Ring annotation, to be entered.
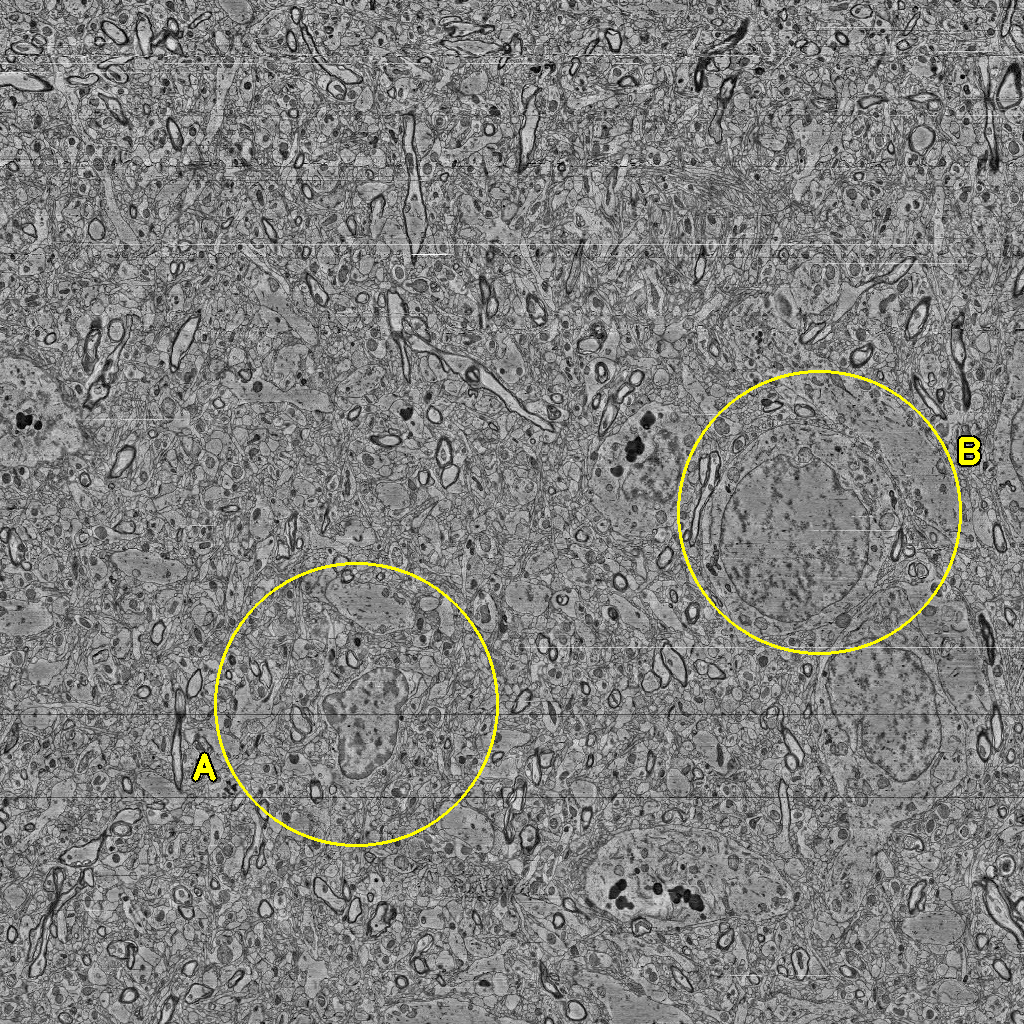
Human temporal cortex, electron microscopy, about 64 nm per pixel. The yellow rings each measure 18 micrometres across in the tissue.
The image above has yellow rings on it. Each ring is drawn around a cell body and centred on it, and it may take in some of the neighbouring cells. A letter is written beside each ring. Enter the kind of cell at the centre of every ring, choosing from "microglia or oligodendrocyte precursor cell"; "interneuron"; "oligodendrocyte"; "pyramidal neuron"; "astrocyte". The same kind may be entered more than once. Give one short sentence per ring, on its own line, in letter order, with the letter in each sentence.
The ring marked A is centred on a microglial cell or oligodendrocyte precursor cell.
The ring marked B is centred on a pyramidal neuron.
